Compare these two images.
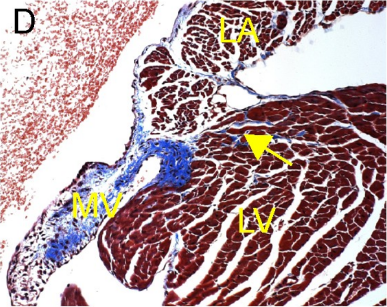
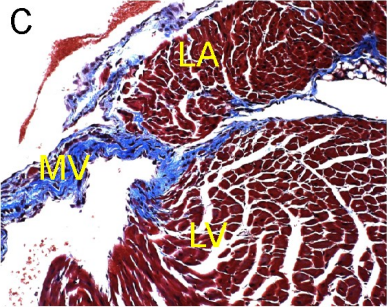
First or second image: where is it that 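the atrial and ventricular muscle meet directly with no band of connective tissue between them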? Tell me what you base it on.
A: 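The first image. Second image: a continuous blue band extends from the valve between the upper and lower red muscle masses.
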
